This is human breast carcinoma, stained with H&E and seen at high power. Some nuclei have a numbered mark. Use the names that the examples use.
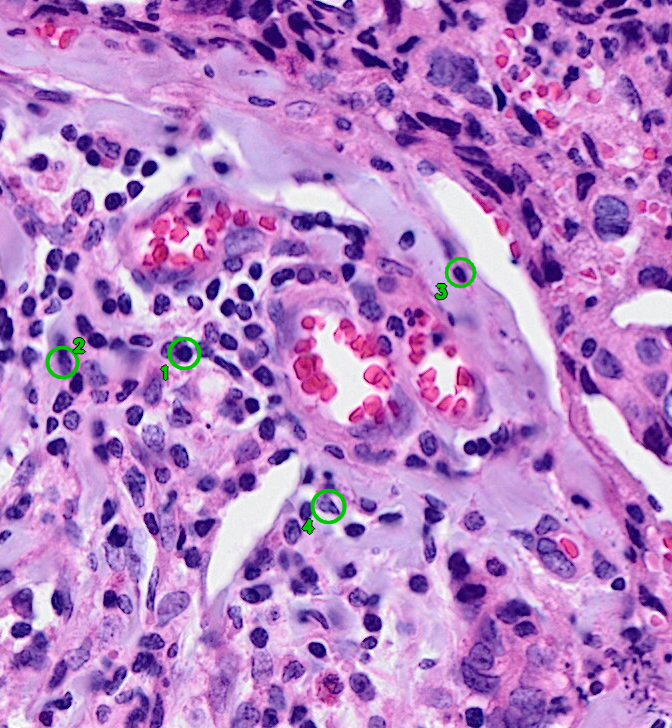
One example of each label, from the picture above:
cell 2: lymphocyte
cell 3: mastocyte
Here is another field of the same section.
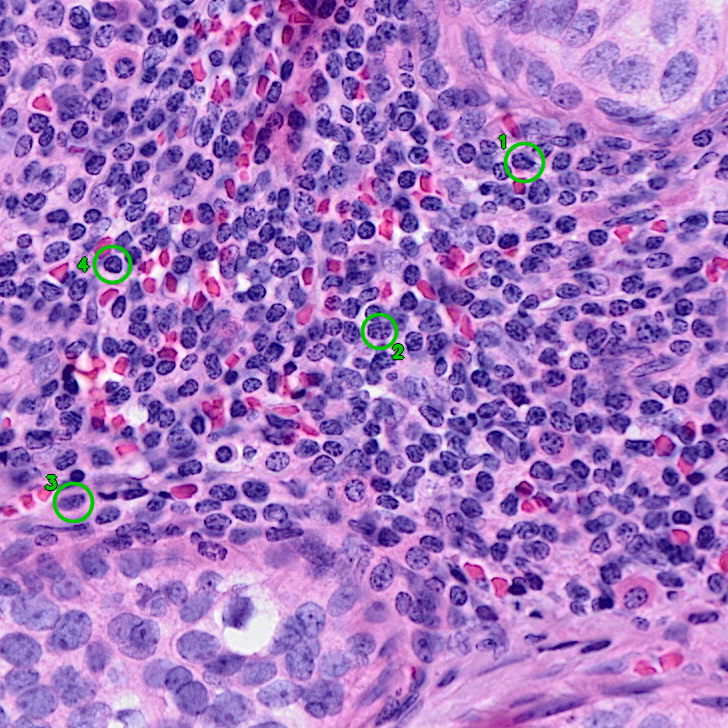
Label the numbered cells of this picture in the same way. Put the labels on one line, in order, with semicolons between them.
lymphocyte; lymphocyte; mastocyte; lymphocyte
